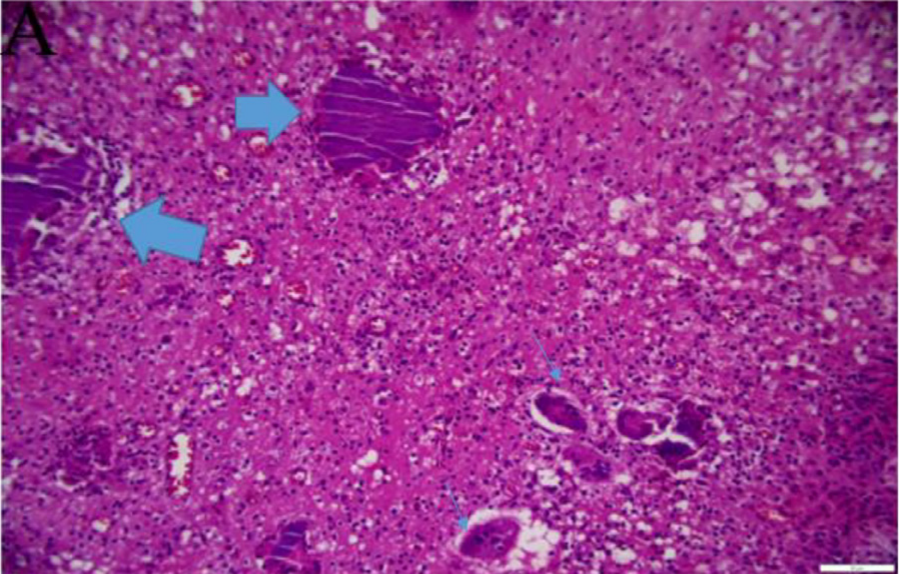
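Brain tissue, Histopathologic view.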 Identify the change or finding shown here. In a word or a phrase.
Mixed inflammatory cells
